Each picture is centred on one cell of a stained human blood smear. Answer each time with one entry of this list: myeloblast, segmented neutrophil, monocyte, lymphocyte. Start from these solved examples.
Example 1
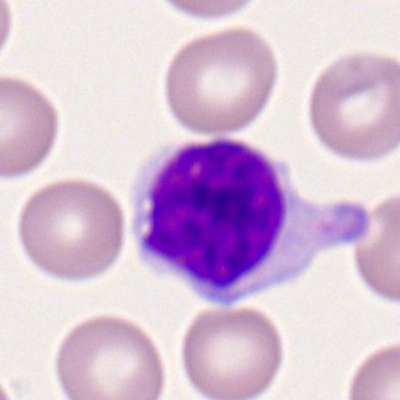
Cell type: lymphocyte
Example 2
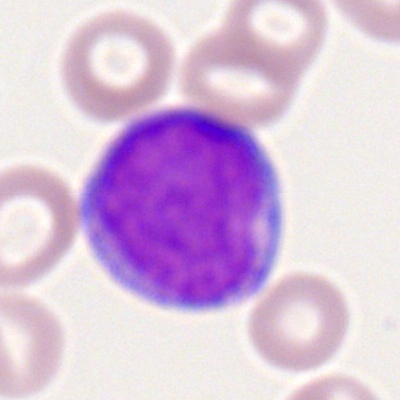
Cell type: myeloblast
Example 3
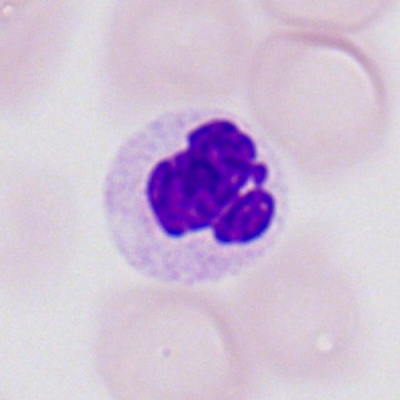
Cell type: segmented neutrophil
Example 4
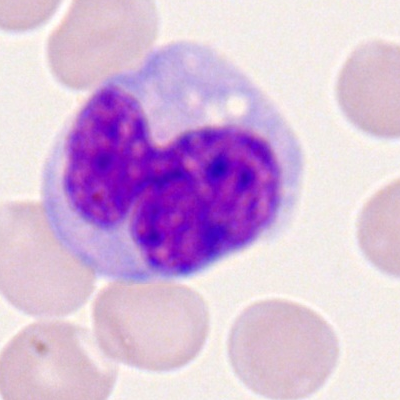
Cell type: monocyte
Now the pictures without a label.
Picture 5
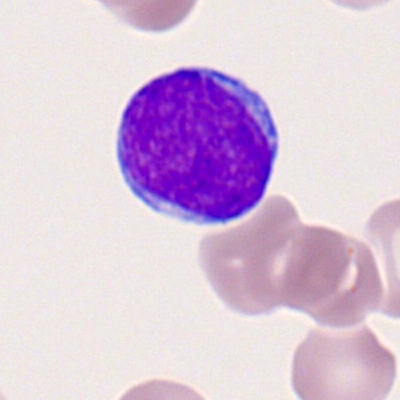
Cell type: myeloblast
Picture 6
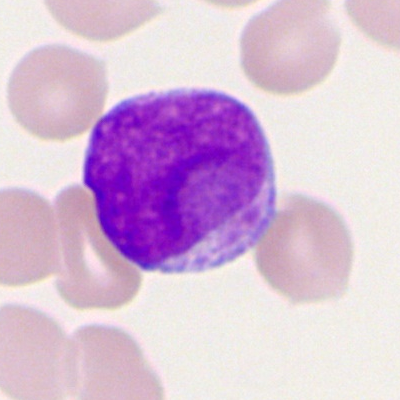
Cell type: myeloblast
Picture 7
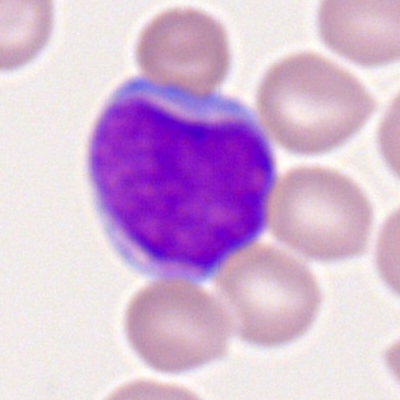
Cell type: myeloblast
